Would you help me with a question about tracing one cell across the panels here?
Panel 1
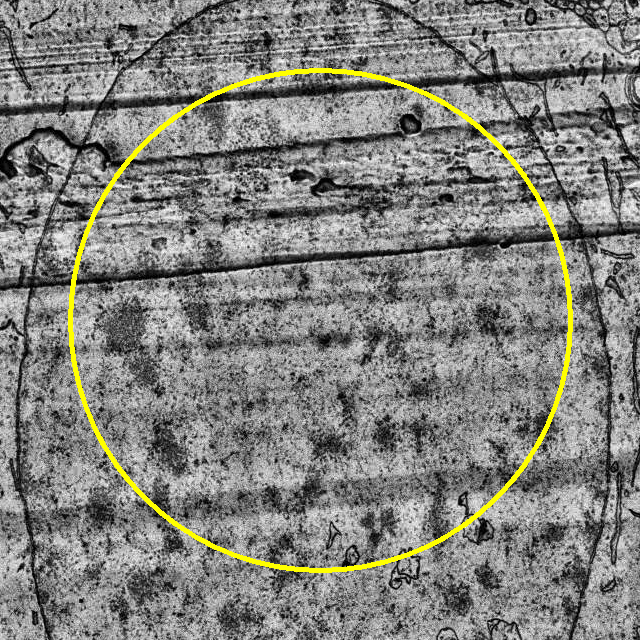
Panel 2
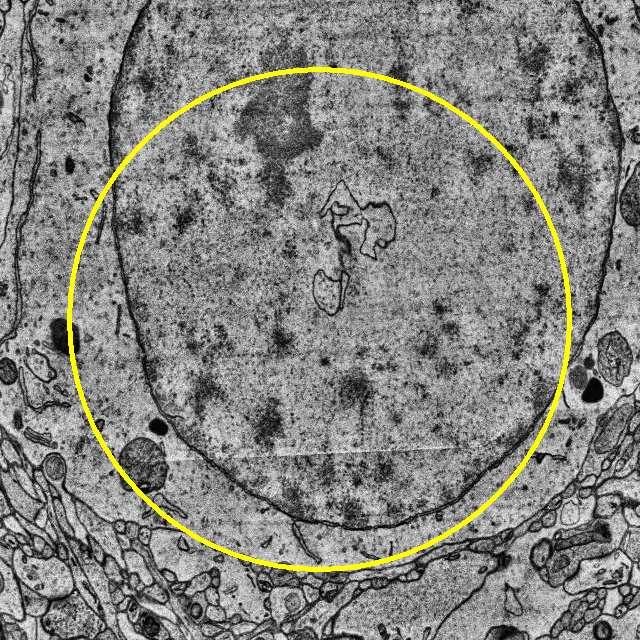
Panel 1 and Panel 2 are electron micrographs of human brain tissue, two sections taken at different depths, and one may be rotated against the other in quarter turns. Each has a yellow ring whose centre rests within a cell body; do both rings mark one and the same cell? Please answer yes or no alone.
no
